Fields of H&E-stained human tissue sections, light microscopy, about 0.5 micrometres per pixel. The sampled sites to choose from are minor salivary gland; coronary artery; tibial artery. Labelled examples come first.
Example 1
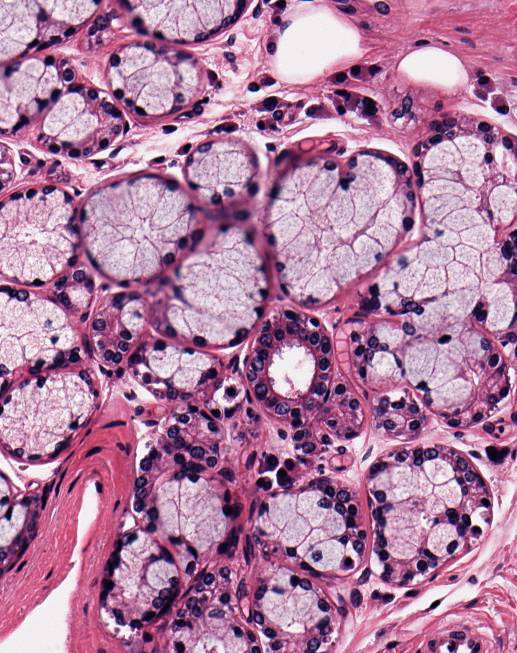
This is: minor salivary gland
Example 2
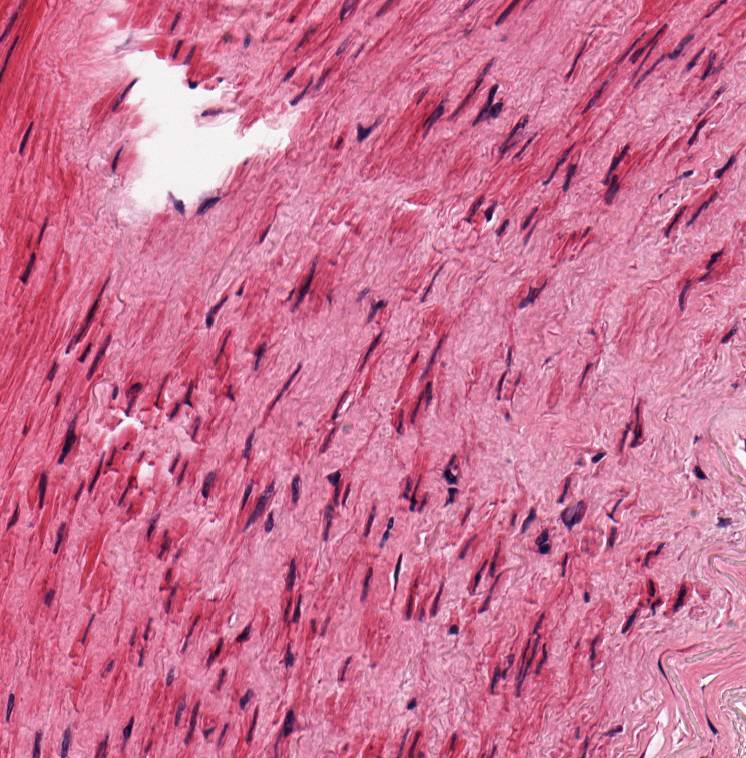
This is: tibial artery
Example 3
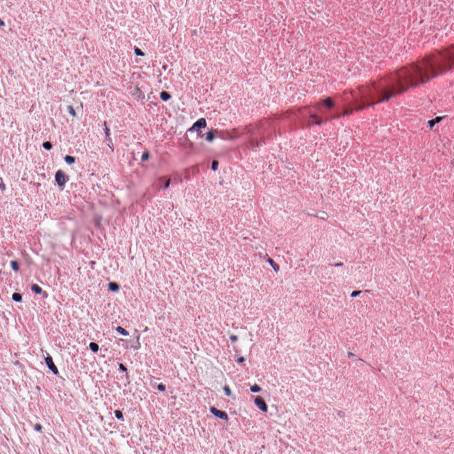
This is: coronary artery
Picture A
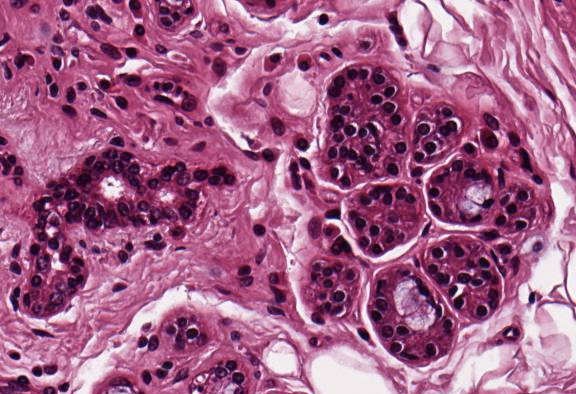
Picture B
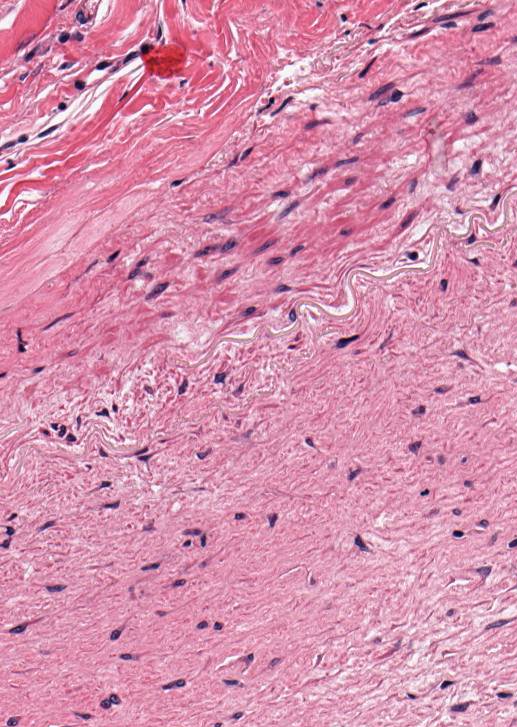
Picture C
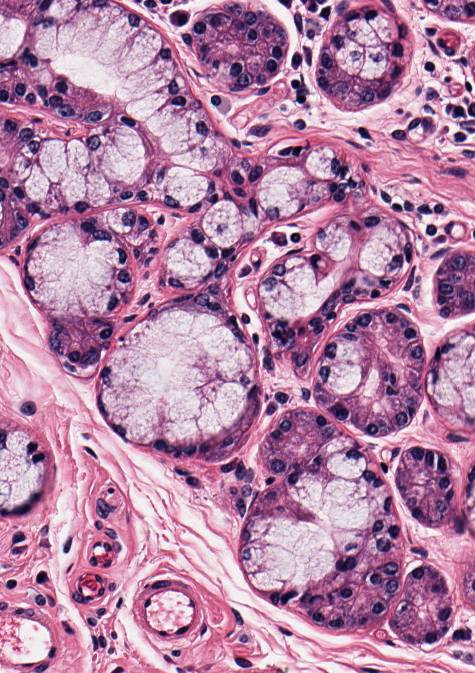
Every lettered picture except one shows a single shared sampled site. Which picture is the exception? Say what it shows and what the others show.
B differs and shows coronary artery; the others show minor salivary gland.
